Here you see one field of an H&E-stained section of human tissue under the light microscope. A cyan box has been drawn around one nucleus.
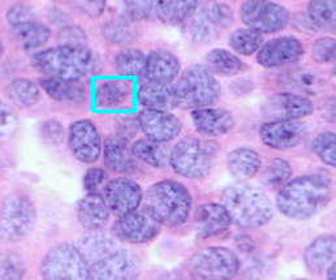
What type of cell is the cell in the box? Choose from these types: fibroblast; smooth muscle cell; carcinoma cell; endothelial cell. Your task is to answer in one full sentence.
On this particular slide, the cell in the box is a carcinoma cell.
